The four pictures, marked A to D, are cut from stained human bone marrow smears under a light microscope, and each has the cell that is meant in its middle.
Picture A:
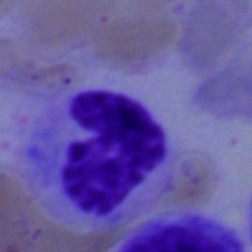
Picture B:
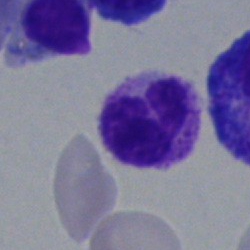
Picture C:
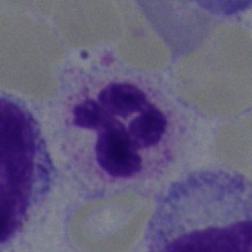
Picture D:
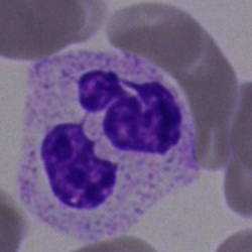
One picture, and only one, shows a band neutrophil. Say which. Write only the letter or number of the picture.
A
